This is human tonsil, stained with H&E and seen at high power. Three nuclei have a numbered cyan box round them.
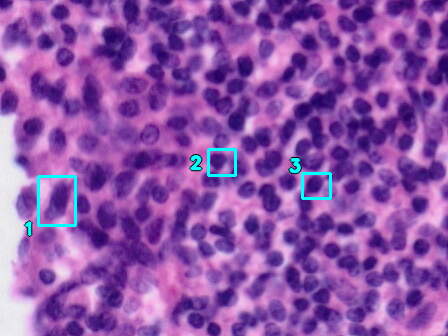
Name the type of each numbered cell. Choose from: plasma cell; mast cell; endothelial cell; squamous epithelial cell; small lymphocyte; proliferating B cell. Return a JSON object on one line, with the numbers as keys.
{"1": "squamous epithelial cell", "2": "small lymphocyte", "3": "small lymphocyte"}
